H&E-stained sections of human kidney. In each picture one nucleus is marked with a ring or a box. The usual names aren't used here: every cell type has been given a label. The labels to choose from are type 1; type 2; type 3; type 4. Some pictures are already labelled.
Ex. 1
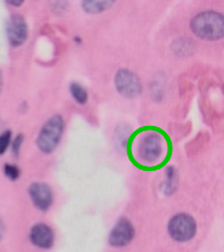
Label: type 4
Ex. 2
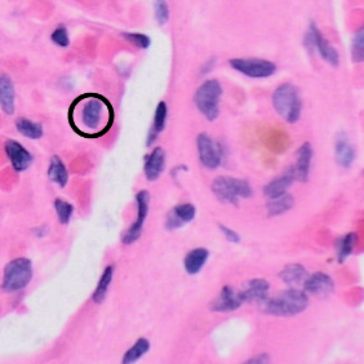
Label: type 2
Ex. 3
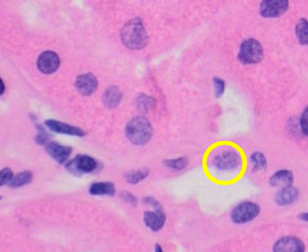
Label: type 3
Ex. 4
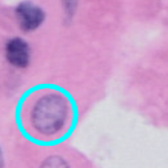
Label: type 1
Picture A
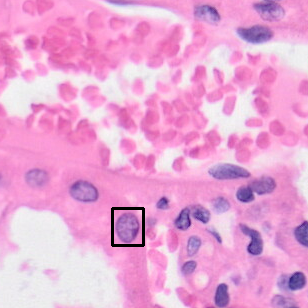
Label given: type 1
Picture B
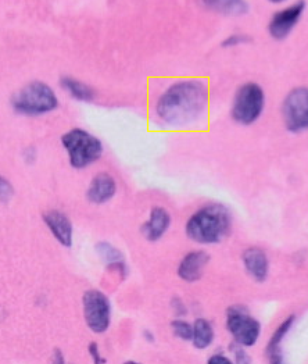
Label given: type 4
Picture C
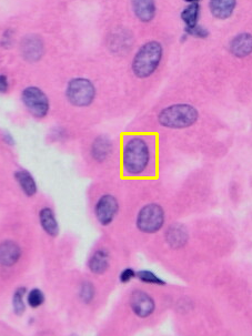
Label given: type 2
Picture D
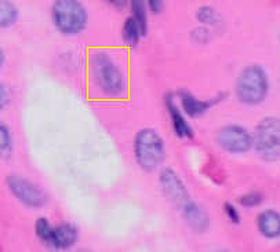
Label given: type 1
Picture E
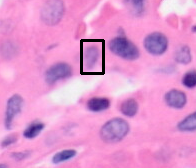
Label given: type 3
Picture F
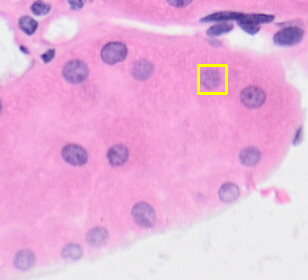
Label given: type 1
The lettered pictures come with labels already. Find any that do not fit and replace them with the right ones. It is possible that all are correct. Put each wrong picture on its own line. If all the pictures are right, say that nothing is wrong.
C: change type 2 to type 1
D: change type 1 to type 3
